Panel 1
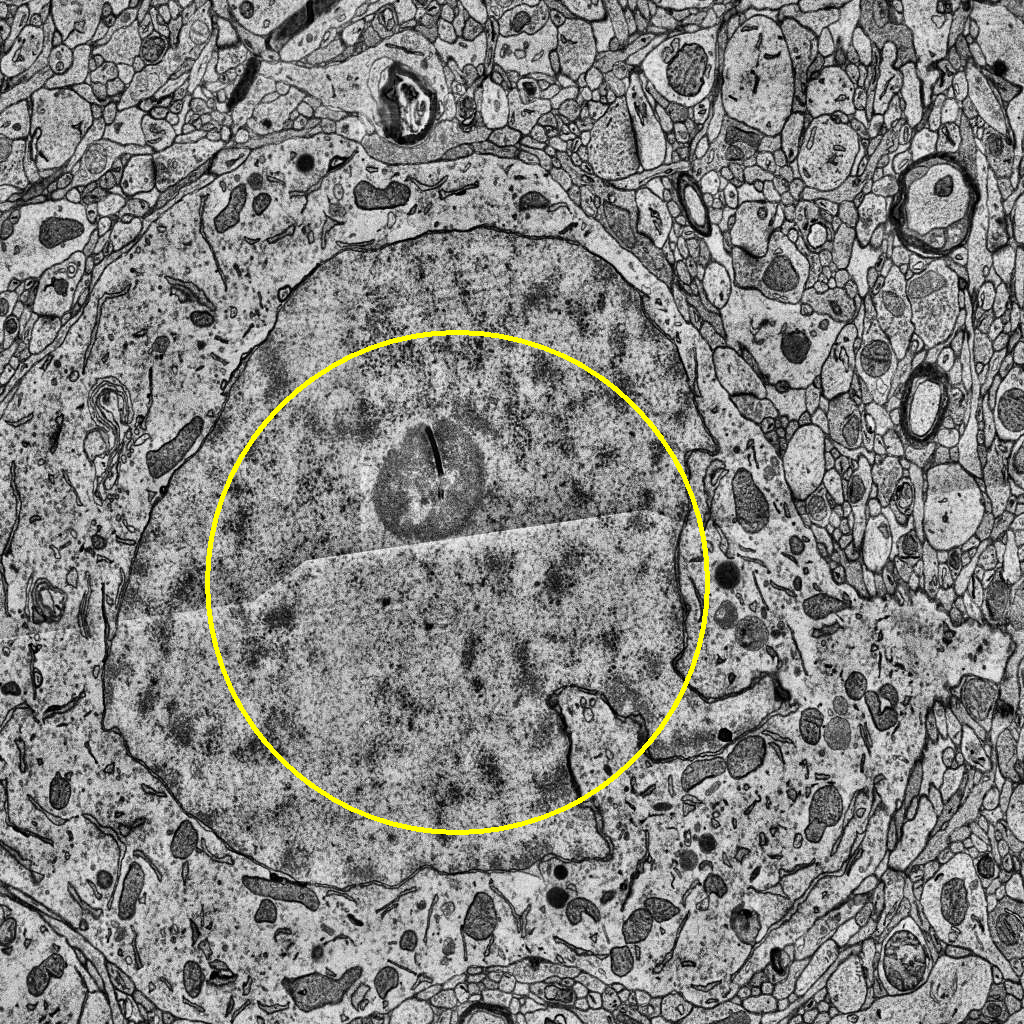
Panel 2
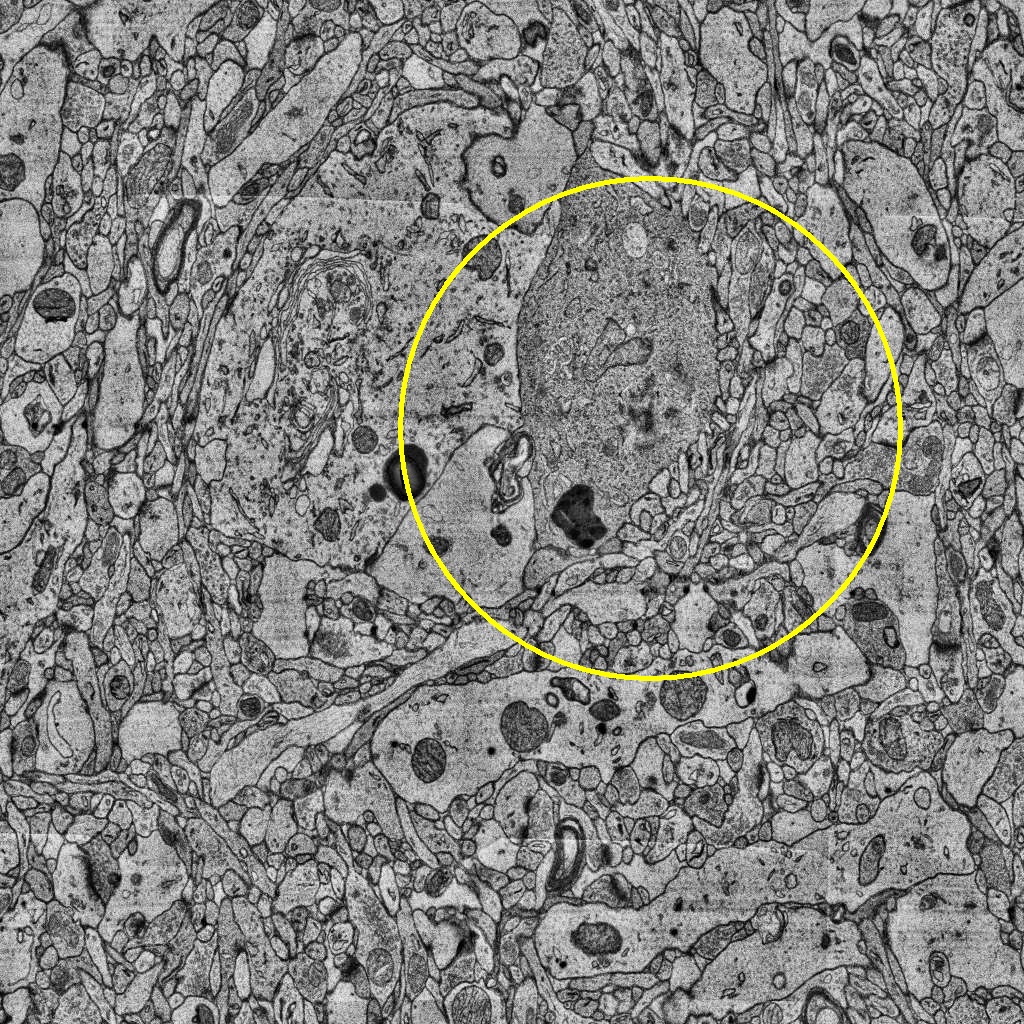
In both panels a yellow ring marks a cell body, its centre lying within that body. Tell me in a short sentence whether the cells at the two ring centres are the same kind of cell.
No, they are two kinds of cell.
